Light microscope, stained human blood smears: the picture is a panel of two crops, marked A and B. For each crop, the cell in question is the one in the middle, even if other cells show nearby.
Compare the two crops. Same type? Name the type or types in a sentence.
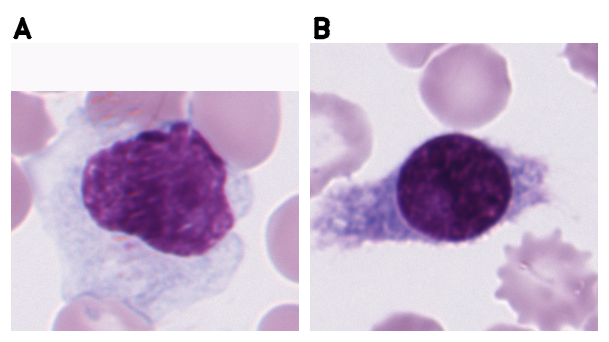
Yes, the middle cells in the two crops are hairy cells.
